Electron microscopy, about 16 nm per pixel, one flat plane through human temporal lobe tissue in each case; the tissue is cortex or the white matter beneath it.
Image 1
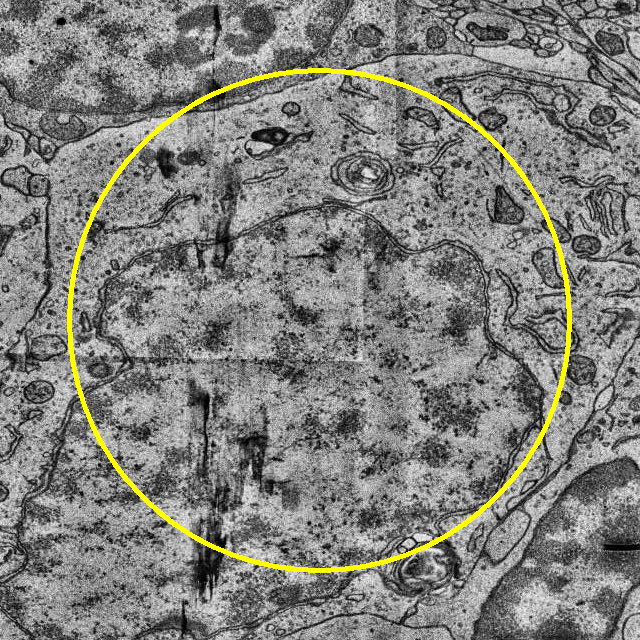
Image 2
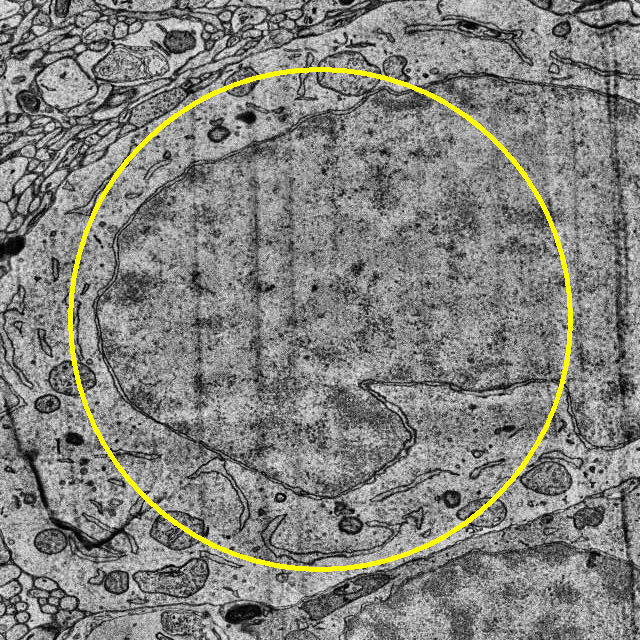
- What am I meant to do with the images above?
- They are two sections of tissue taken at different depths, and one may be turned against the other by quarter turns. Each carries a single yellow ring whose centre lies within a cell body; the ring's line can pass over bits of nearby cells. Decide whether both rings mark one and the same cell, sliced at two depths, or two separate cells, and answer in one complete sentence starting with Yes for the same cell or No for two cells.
No, one ring marks one cell and the other ring marks another.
